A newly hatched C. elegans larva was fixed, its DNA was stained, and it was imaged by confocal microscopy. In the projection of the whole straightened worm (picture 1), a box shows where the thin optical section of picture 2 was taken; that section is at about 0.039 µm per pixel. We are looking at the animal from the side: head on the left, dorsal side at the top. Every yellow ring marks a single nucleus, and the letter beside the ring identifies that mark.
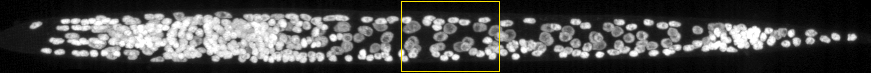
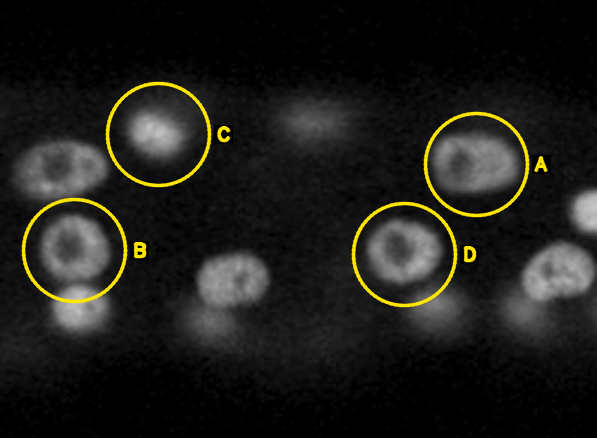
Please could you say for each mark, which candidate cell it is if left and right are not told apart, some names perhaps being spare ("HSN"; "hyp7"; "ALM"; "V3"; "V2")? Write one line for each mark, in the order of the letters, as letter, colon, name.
A: hyp7
B: V2
C: ALM
D: V3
